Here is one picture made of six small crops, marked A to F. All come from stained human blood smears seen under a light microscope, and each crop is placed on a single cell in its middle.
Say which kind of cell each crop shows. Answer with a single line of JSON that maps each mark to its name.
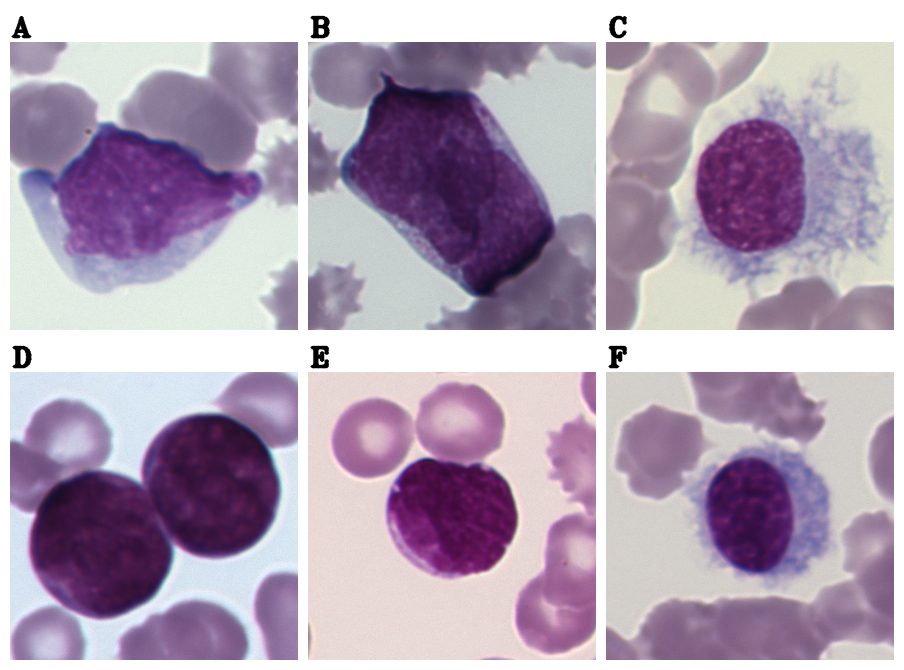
{"A": "myeloblast", "B": "myeloblast", "C": "hairy cell", "D": "myeloblast", "E": "myeloblast", "F": "hairy cell"}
